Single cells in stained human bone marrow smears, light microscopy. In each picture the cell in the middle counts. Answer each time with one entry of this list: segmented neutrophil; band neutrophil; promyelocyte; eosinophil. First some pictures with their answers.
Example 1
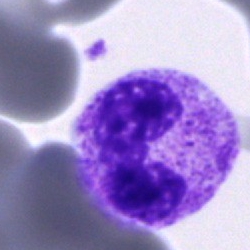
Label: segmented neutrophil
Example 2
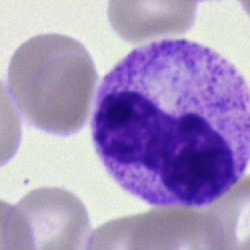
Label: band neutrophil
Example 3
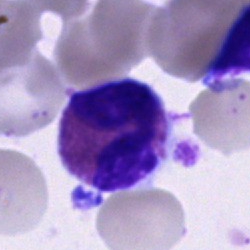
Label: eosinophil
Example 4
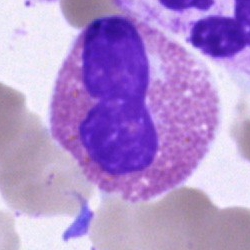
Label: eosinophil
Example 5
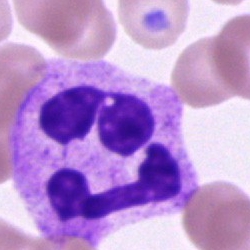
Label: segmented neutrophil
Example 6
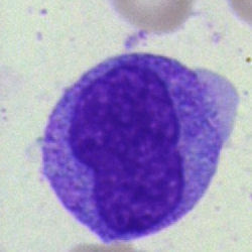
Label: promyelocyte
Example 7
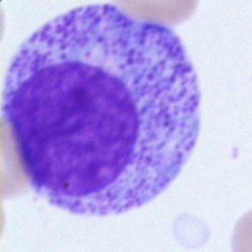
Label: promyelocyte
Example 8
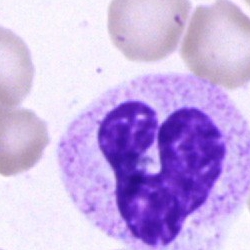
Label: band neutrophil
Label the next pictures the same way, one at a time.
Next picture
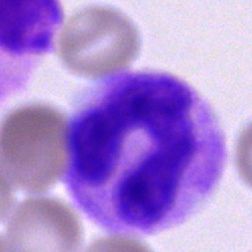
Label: band neutrophil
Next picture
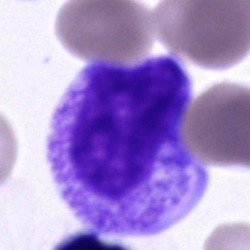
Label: promyelocyte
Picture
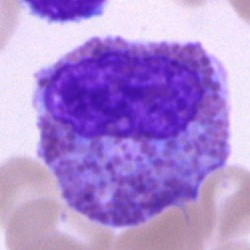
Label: eosinophil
